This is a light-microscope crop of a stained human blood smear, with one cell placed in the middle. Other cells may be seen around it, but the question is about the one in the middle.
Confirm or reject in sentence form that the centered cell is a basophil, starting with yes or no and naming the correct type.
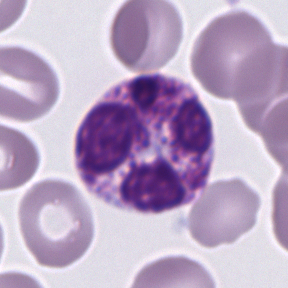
Yes, the cell that is in the middle is a basophil.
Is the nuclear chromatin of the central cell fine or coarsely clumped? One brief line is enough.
The chromatin pattern here is coarse and clumped.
